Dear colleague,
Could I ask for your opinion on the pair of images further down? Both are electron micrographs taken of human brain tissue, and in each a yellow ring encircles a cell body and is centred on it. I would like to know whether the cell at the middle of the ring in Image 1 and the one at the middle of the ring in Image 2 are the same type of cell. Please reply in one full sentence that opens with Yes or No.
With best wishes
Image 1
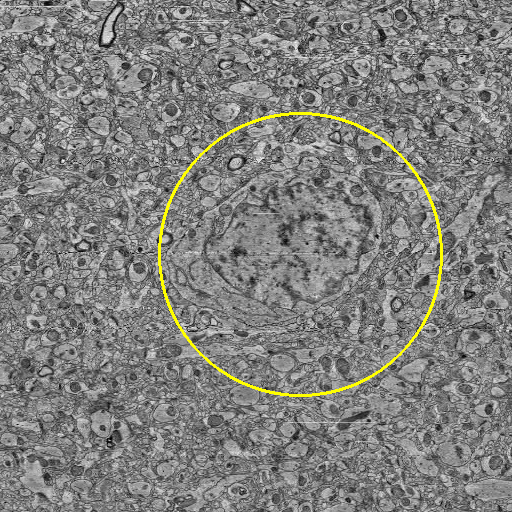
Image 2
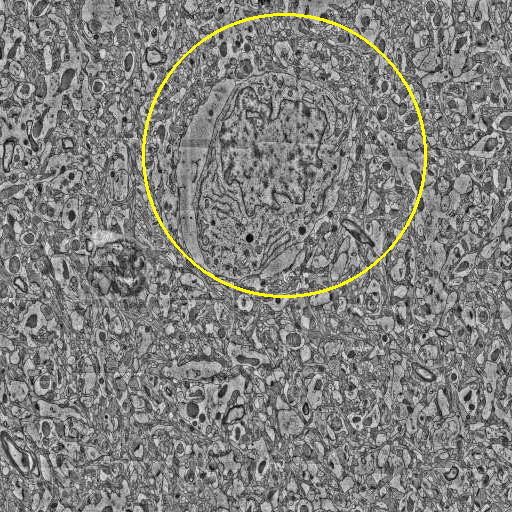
Yes, the cells at the ring centres in Image 1 and Image 2 are of one type.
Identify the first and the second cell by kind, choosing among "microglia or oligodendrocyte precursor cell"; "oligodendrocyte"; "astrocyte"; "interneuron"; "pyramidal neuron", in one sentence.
Each of the two pictures has an interneuron at the ring centre.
